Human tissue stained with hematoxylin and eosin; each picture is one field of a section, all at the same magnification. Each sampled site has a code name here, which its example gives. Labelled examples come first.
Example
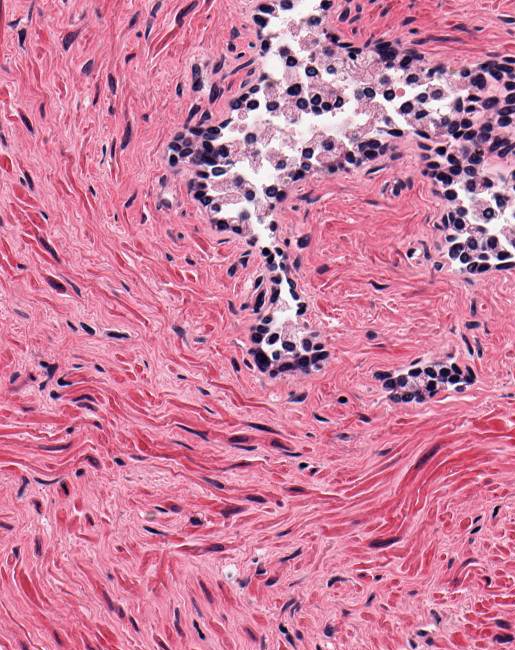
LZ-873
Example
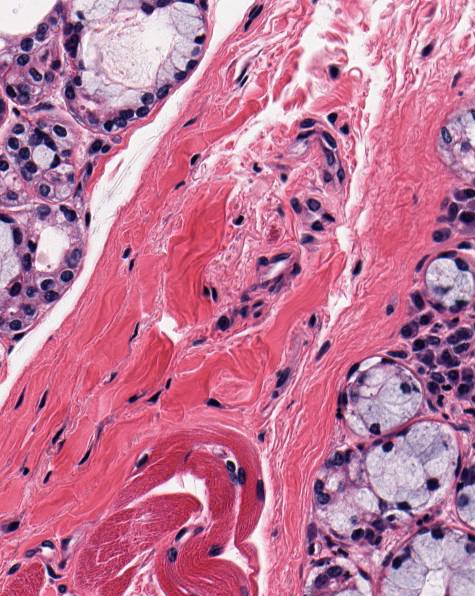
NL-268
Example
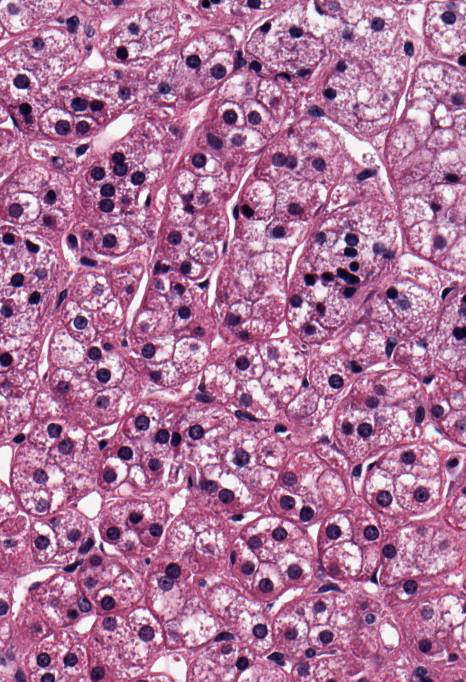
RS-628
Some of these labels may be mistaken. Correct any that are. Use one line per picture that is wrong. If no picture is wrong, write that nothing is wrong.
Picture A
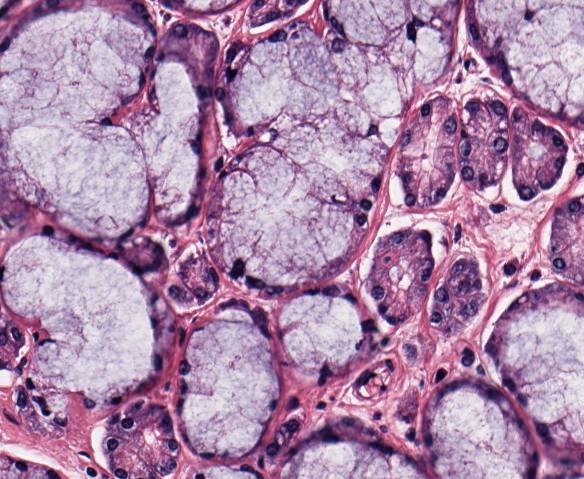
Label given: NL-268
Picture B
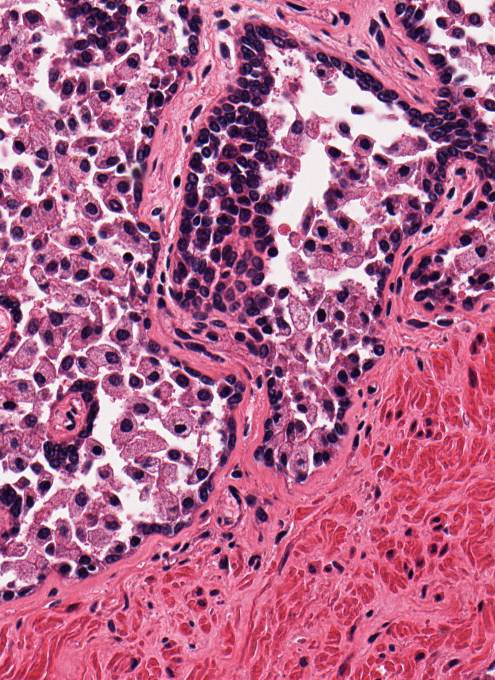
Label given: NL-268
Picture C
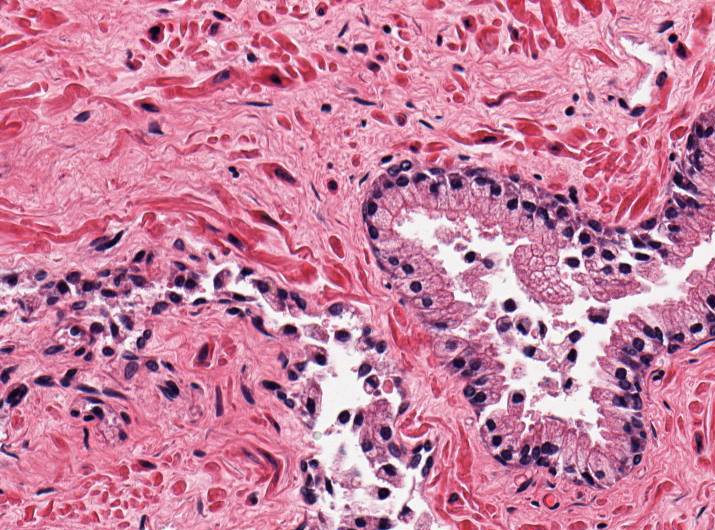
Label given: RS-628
B: change NL-268 to LZ-873
C: change RS-628 to LZ-873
